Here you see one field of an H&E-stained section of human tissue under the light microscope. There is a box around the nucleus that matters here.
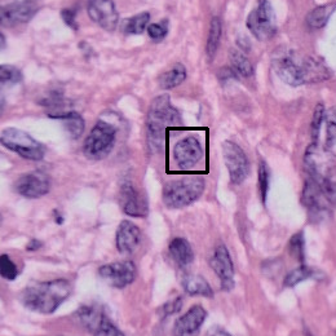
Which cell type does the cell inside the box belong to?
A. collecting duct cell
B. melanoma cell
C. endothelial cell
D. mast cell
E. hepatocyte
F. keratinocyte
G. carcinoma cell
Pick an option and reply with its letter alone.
B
